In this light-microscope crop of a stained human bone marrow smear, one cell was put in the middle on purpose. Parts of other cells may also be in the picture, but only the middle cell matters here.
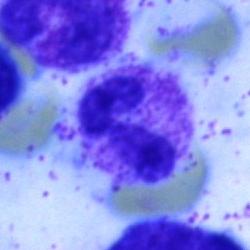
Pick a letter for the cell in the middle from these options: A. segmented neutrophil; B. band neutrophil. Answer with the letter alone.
A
